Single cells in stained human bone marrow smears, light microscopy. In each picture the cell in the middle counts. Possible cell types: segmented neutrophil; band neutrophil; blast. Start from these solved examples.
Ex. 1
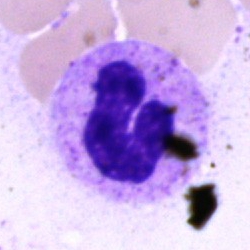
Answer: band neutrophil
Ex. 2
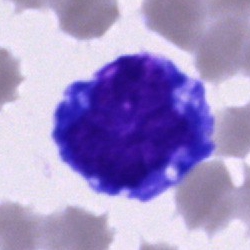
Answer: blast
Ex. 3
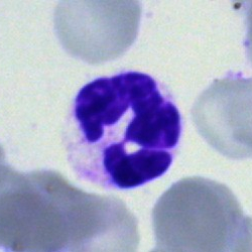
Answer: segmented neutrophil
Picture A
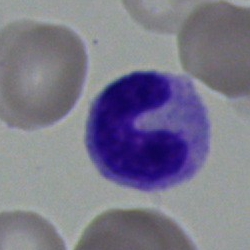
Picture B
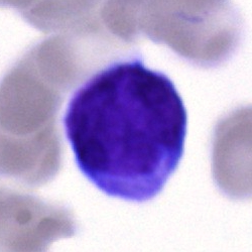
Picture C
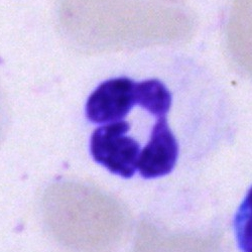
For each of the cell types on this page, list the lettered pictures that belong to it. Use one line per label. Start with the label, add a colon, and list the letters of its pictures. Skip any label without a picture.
segmented neutrophil: C
band neutrophil: A
blast: B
